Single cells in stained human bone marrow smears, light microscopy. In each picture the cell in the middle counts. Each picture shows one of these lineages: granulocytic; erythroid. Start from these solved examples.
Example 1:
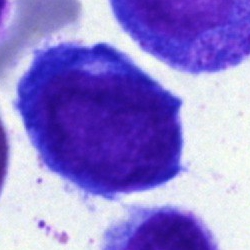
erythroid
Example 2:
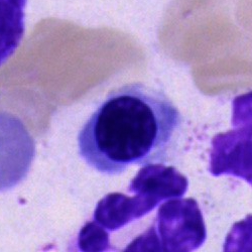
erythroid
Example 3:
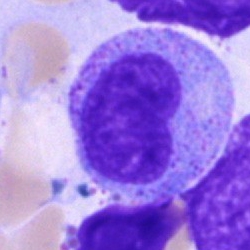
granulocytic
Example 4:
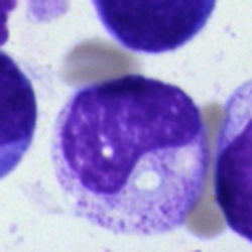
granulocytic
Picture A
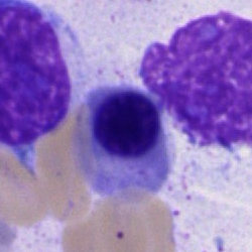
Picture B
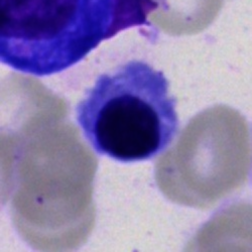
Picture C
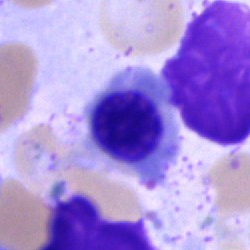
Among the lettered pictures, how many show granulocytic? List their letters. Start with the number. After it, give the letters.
0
